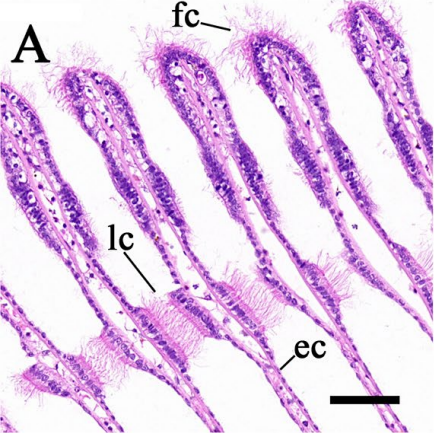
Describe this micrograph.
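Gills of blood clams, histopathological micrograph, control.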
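The filaments run in parallel as slender finger-like projections with rounded, club-shaped ends. At the tips the epithelium is tall and crowded with purple nuclei, and a fringe of pink front cilia projects from the surface. Along the sides, bands of longer lateral cilia extend into the spaces between neighbouring filaments, where they meet. Lower down the filaments narrow, and their walls are formed by thin, flattened epithelium cells with elongated nuclei around a pale central space.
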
